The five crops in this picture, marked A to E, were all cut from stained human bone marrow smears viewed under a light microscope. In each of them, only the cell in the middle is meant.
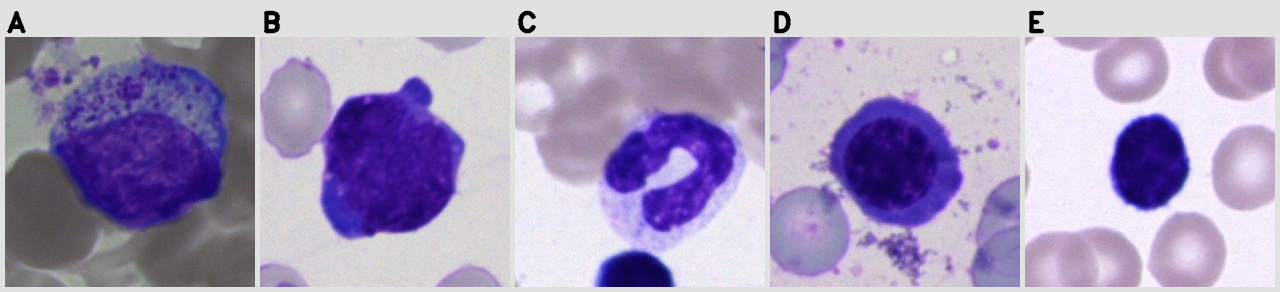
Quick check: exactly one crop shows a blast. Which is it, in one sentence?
The crop that shows a blast is crop B.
